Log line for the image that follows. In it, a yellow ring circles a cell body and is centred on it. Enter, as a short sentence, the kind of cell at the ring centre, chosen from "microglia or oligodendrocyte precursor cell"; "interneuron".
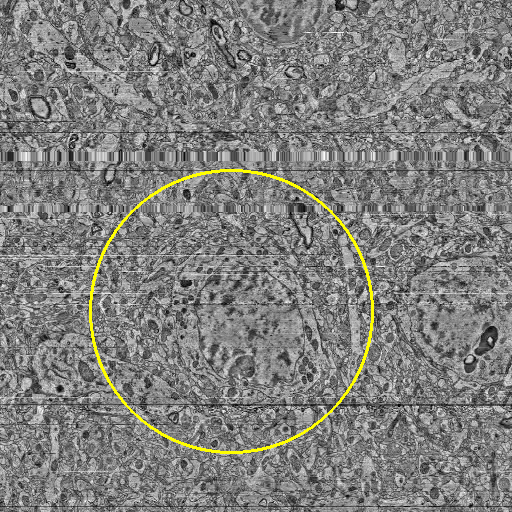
The ring centre is occupied by an interneuron.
